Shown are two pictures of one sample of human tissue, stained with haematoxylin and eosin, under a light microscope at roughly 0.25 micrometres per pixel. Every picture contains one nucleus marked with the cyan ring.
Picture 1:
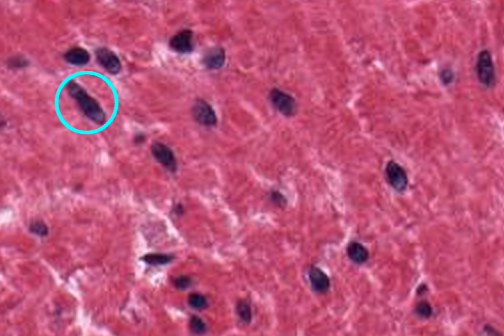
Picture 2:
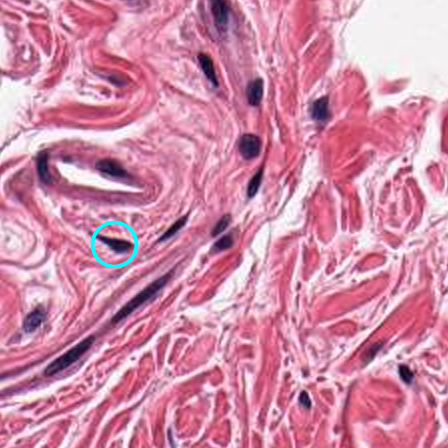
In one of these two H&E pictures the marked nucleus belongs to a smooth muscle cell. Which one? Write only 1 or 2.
1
